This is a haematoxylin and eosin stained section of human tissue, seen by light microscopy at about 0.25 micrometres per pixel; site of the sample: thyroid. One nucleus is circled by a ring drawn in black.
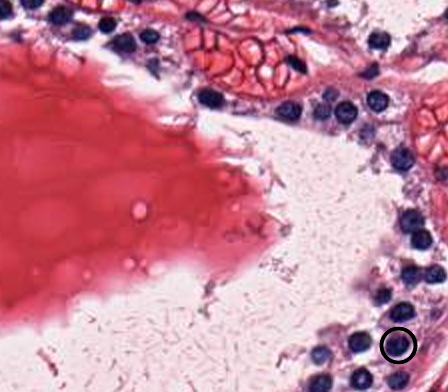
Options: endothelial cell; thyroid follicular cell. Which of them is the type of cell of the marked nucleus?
thyroid follicular cell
